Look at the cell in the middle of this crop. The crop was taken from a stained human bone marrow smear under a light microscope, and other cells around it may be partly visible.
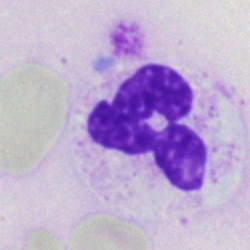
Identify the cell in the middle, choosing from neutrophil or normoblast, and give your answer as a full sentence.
Classification of the middle cell gives a neutrophil.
